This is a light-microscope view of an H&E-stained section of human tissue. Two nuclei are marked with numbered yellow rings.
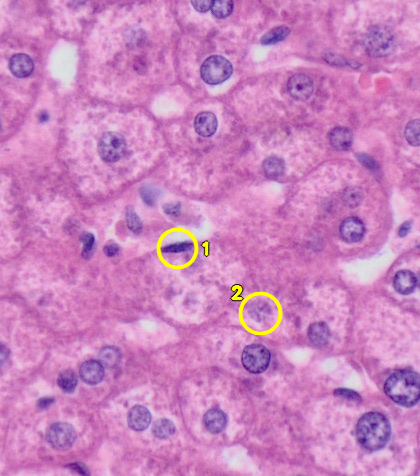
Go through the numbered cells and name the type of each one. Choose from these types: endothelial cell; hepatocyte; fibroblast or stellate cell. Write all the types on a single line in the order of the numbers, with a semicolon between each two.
fibroblast or stellate cell; hepatocyte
